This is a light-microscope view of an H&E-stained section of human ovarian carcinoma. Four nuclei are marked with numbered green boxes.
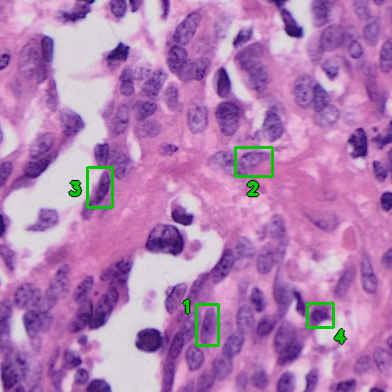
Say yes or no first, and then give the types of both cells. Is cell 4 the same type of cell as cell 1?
Yes, the cells marked 4 and 1 are both carcinoma cells.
